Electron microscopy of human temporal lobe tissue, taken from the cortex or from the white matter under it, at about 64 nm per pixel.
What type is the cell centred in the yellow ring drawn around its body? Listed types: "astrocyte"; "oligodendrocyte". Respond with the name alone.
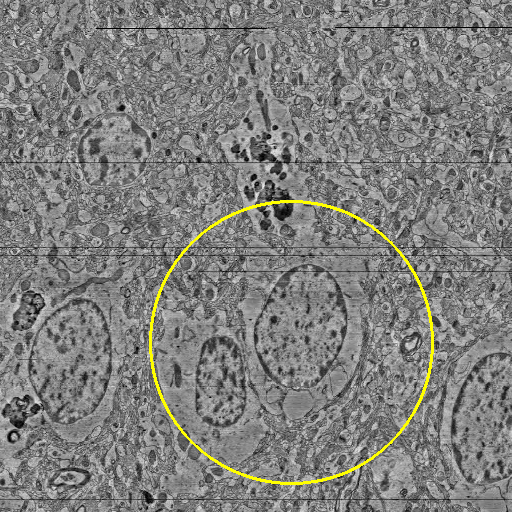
astrocyte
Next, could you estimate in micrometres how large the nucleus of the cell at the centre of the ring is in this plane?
In this plane the nucleus spans approximately 8 by 6 micrometers.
